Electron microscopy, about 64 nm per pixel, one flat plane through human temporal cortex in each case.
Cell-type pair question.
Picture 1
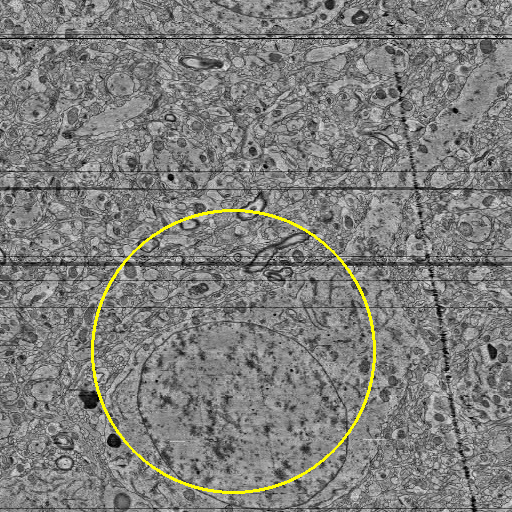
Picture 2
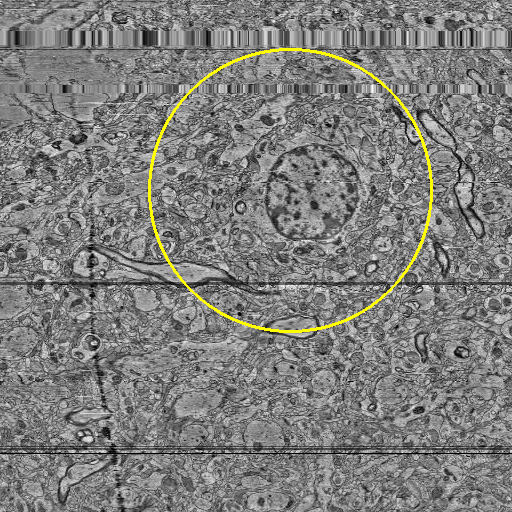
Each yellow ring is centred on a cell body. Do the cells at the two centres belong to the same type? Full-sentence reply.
No, the two cells belong to two types.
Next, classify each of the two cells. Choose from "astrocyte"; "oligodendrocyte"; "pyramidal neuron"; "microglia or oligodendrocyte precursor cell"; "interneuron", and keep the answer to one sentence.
In the first picture it is a pyramidal neuron; in the second it is an astrocyte.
